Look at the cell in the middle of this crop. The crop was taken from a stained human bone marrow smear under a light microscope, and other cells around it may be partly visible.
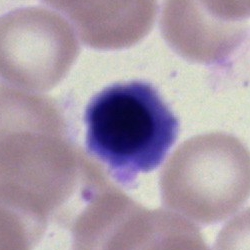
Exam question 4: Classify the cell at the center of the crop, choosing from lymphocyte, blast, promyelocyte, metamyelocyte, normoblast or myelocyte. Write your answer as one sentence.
The cell under consideration, at the middle of the crop, is a normoblast.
